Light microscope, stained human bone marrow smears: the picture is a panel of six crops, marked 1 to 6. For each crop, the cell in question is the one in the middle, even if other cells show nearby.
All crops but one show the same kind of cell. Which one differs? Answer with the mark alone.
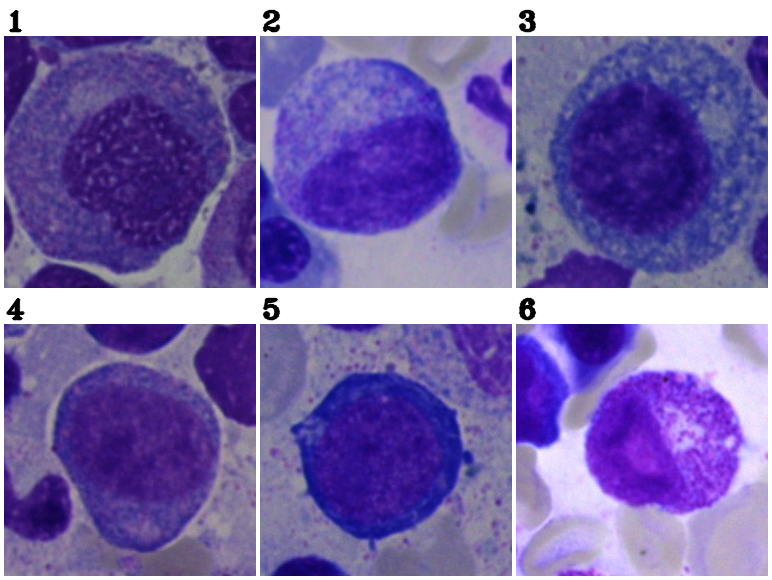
5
